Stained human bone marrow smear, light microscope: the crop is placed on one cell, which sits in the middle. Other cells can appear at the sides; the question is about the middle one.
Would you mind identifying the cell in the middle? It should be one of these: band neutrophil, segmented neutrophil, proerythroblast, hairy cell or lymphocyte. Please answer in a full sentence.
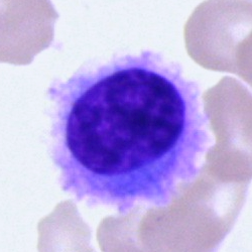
For this crop, the central cell is a hairy cell.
